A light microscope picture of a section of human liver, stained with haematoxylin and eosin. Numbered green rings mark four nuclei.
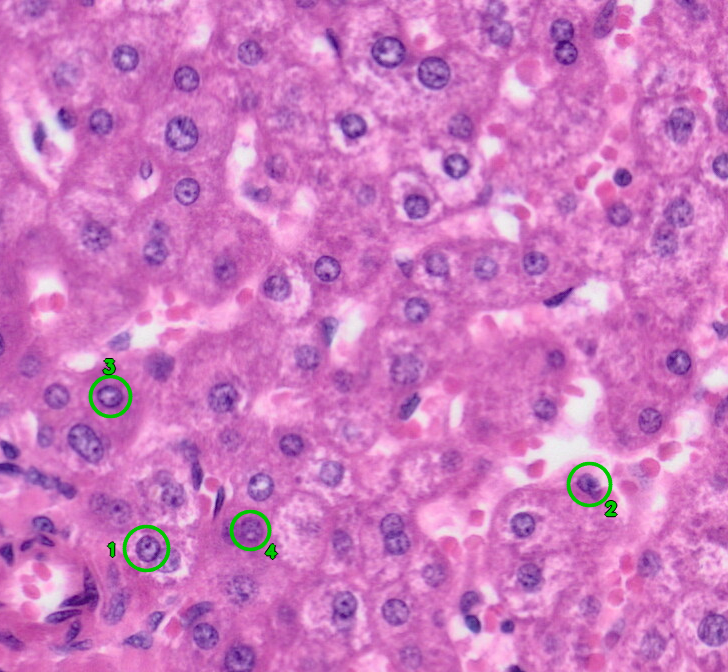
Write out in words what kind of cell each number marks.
Cell 1 is a hepatocyte, cell 2 is a fibroblast or stellate cell, cell 3 is a hepatocyte and cell 4 is a hepatocyte.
